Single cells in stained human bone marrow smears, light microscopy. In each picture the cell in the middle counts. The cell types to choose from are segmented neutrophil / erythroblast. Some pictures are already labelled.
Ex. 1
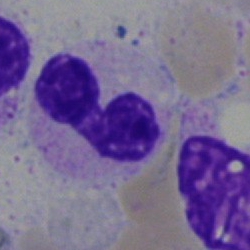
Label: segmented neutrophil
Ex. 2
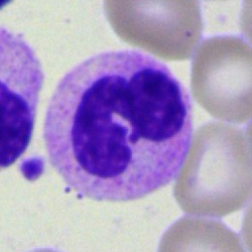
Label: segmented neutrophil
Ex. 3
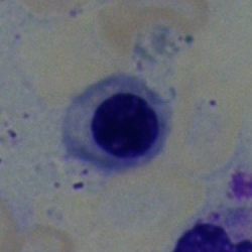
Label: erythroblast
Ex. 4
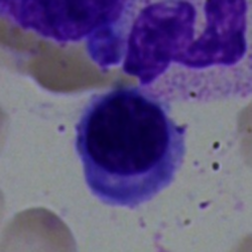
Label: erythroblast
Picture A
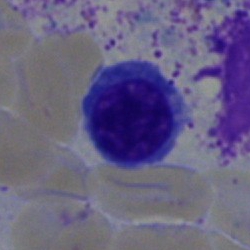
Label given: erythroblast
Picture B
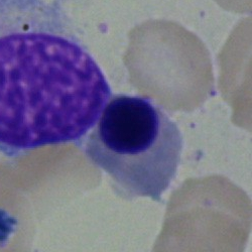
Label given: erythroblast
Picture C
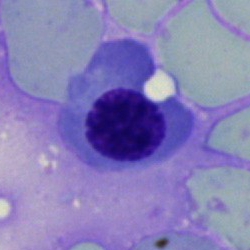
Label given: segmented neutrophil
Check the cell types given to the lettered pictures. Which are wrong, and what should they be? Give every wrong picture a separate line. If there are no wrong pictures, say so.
C should be erythroblast, not segmented neutrophil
